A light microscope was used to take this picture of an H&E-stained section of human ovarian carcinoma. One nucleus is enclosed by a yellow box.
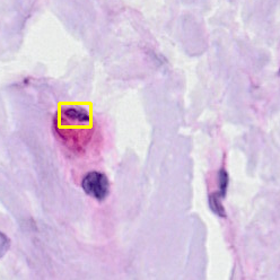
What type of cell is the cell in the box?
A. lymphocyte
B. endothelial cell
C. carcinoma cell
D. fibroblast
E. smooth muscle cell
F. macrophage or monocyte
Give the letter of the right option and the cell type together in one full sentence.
In this section the cell in the box is an endothelial cell; option B is therefore correct.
